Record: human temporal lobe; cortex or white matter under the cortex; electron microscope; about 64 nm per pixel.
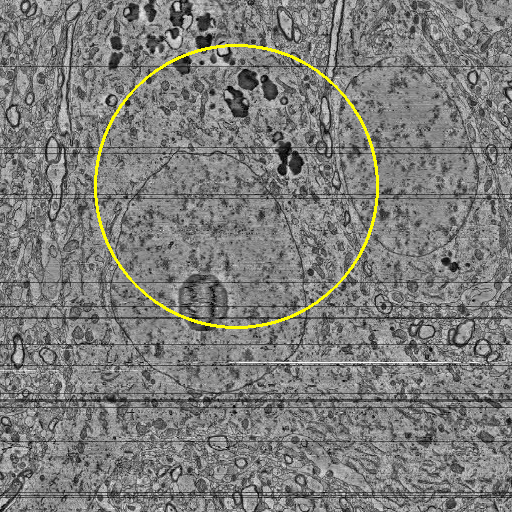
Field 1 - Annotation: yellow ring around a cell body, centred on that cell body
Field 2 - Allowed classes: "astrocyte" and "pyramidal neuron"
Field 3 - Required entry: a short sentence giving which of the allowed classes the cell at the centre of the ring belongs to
The centred cell is a pyramidal neuron.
